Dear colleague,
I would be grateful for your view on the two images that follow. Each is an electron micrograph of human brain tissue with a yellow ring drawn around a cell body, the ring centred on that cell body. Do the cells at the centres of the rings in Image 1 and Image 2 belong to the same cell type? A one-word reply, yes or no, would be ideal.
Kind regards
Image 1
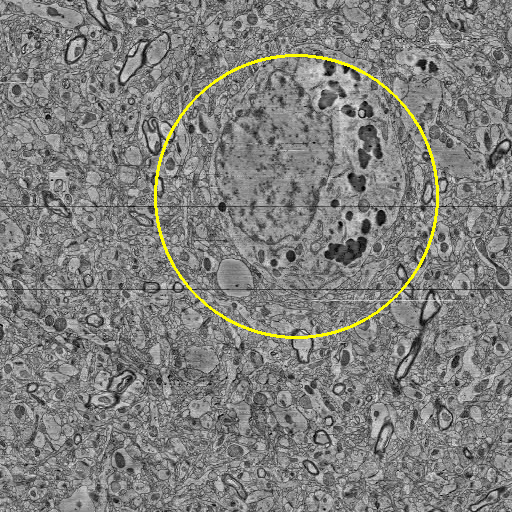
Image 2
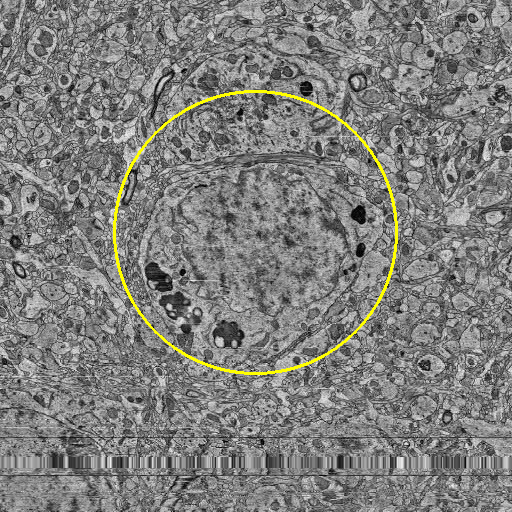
yes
